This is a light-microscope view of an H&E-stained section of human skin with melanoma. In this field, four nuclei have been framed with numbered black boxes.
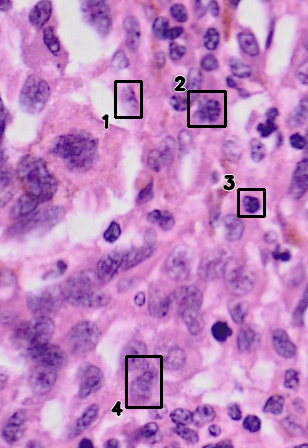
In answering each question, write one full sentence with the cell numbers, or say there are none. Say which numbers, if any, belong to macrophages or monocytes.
Only the cell numbered 1 is a macrophage or monocyte, and the others are something else.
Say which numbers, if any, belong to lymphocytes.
Among all the marked cells, a lymphocyte is found only at number 3.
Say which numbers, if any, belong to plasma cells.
Only the cell at mark 2 is a plasma cell, and no other marked cell is.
